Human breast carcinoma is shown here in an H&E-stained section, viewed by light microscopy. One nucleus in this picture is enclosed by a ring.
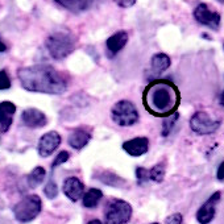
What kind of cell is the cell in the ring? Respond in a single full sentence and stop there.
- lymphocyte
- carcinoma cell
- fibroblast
Cytologically, the cell in the ring is to be regarded as a lymphocyte.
